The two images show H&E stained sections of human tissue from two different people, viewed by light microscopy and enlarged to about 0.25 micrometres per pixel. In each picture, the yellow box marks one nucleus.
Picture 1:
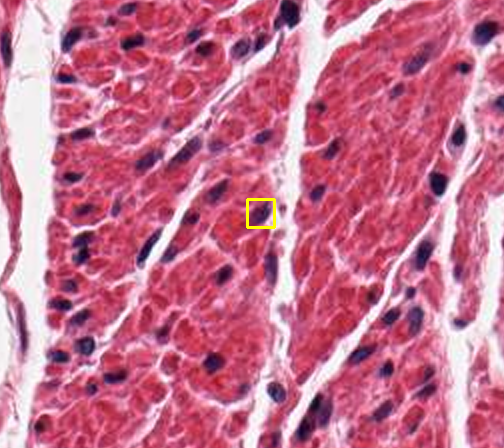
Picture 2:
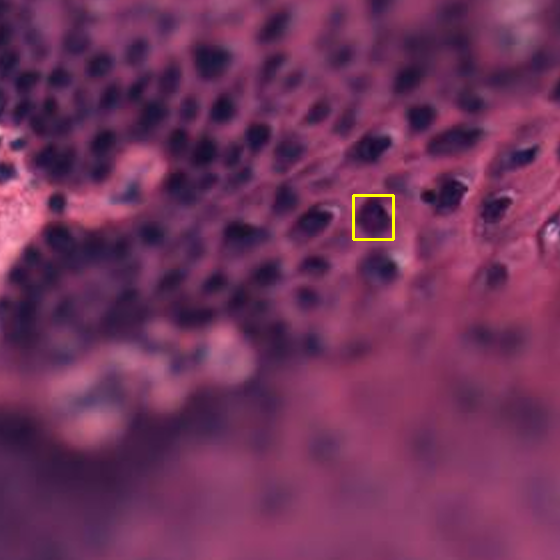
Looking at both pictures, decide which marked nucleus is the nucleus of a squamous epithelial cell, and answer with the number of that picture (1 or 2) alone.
2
